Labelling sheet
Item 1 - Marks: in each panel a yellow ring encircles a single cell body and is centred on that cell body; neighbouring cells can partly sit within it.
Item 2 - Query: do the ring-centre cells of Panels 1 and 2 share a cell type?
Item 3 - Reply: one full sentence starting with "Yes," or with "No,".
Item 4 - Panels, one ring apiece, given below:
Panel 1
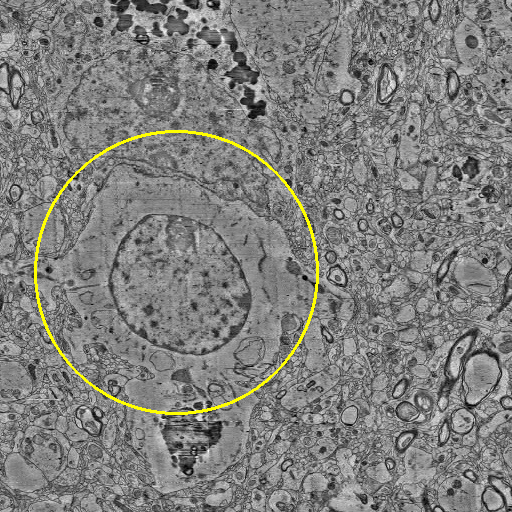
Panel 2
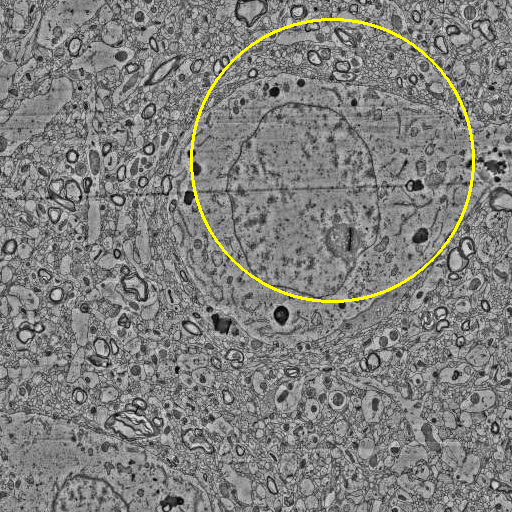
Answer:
No, Panel 1 and Panel 2 show two cell types at the centres of their rings.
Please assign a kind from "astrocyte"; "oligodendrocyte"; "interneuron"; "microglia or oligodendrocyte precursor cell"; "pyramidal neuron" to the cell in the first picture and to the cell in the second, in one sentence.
In the first picture we have an astrocyte, and in the second, a pyramidal neuron.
